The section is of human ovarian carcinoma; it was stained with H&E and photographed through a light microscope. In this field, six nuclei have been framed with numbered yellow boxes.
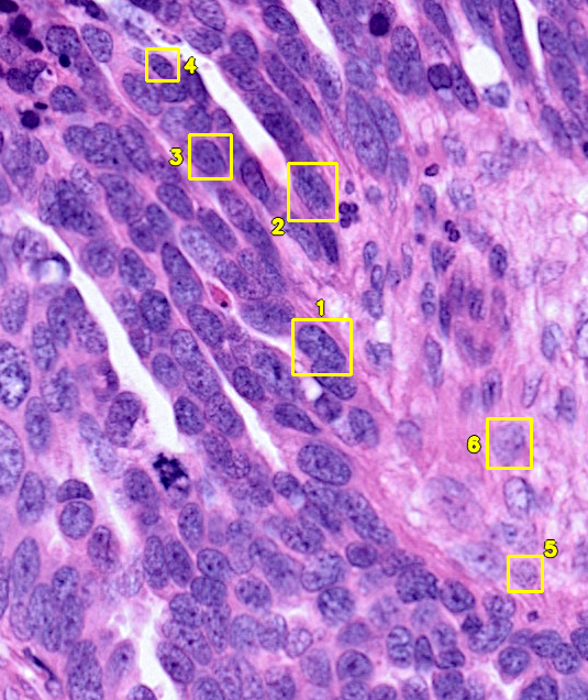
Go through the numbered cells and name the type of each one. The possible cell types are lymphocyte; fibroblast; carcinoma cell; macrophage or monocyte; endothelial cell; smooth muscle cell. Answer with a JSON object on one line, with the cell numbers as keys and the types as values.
{"1": "carcinoma cell", "2": "carcinoma cell", "3": "carcinoma cell", "4": "carcinoma cell", "5": "fibroblast", "6": "fibroblast"}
